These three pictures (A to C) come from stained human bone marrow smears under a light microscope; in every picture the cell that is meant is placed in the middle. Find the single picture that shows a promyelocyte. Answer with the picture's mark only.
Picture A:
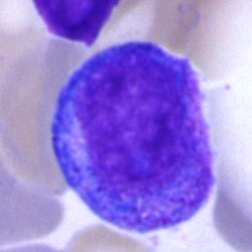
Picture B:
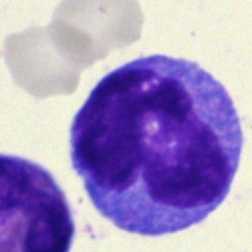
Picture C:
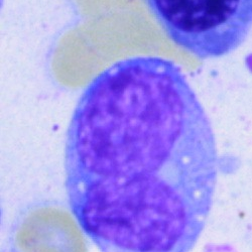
A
